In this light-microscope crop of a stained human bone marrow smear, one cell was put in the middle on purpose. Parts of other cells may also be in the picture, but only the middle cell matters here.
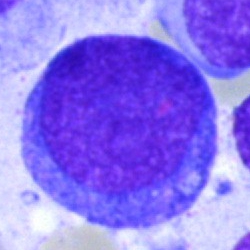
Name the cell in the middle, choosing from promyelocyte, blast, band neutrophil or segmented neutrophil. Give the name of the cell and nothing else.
blast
